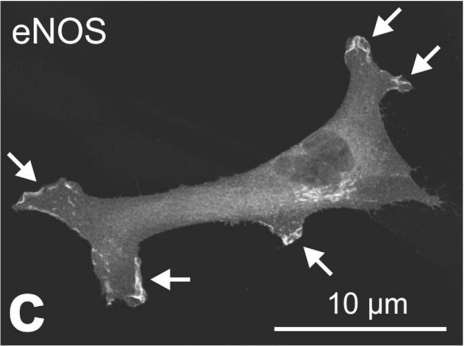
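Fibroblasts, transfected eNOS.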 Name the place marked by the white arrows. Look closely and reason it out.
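The arrows point to bright label along the edges of the cell's extension tips. The cytoplasm elsewhere is more uniformly grey. On this evidence: membrane-bound.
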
